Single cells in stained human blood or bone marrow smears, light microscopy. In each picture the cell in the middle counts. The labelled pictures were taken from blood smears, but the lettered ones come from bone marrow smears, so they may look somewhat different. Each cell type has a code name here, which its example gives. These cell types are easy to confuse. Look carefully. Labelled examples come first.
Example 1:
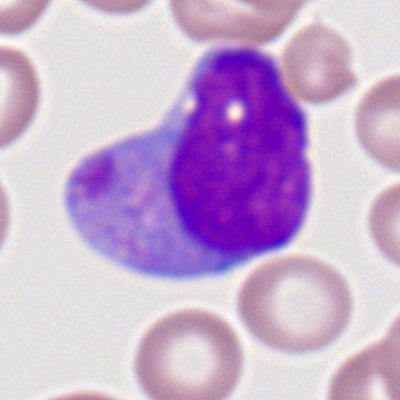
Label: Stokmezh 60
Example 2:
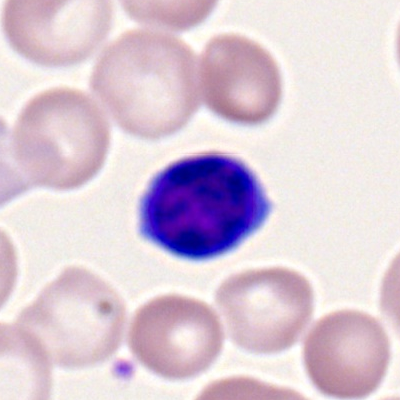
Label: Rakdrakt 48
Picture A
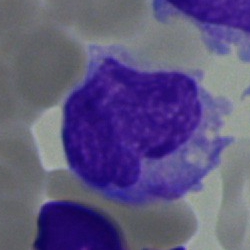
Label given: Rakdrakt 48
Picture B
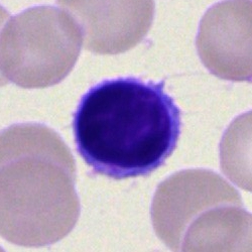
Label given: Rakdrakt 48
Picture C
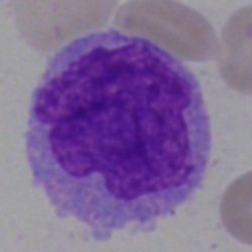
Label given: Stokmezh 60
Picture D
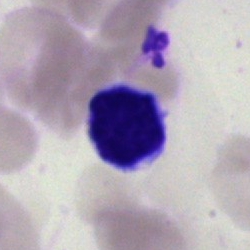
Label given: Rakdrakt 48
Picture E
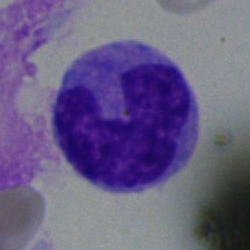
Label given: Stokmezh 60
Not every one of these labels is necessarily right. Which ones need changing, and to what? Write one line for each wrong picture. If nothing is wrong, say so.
A should be Stokmezh 60, not Rakdrakt 48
